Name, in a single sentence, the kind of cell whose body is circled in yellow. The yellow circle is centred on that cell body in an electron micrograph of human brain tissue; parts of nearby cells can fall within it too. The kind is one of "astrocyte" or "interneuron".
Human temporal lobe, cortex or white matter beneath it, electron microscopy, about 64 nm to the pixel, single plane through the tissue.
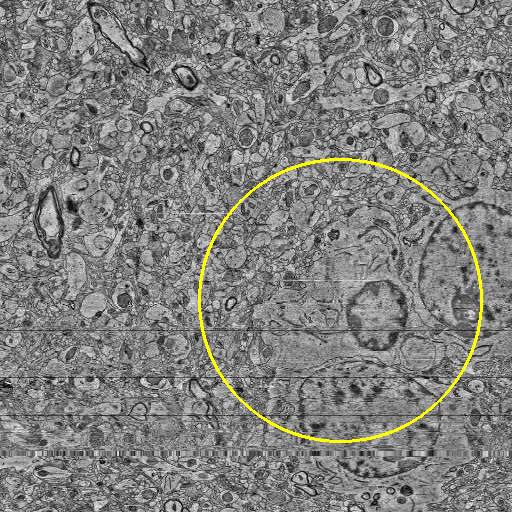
The circled cell body belongs to an astrocyte.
